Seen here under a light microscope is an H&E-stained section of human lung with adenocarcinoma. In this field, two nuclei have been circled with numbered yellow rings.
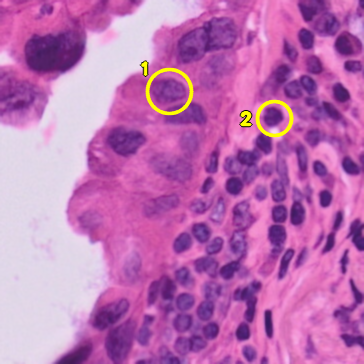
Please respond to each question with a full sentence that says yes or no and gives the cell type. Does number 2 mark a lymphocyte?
Yes, the cell indicated by number 2 is a lymphocyte.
